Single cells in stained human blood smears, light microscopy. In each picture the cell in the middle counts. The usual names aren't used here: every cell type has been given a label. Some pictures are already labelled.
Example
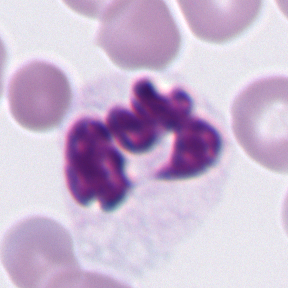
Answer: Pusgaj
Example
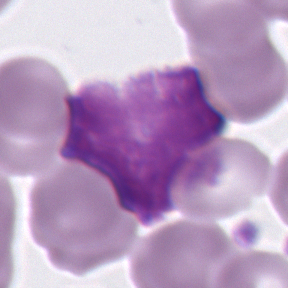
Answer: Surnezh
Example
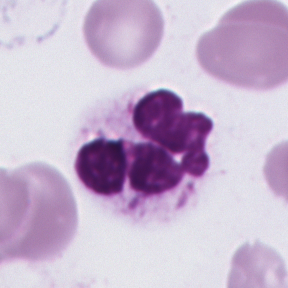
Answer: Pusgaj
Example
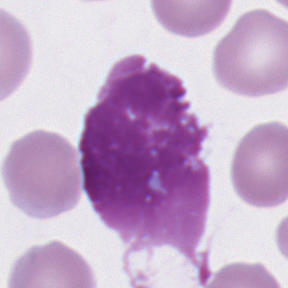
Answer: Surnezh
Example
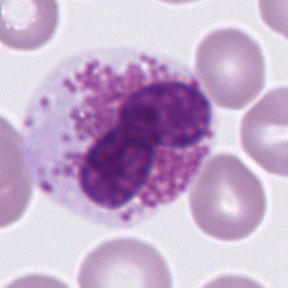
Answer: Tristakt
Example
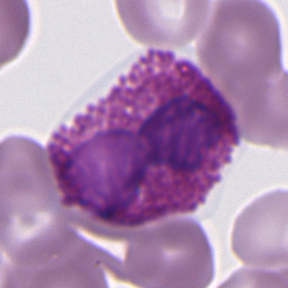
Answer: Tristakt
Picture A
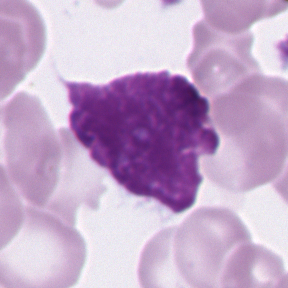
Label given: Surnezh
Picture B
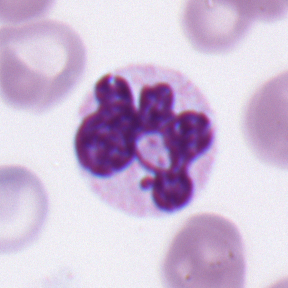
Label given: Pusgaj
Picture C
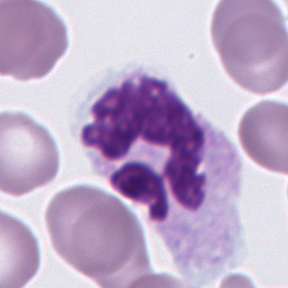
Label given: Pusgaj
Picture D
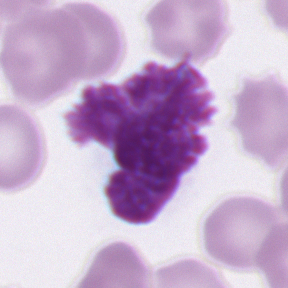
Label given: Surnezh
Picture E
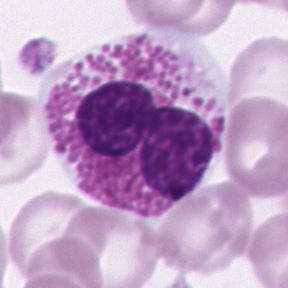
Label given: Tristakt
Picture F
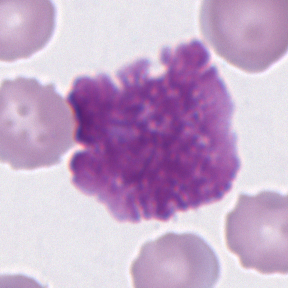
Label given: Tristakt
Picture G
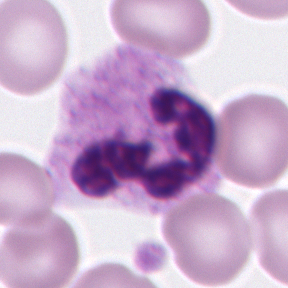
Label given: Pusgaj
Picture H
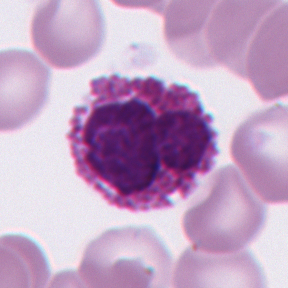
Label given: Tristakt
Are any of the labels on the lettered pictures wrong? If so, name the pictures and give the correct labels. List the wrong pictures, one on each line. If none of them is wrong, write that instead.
F is labelled Tristakt; correct label: Surnezh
